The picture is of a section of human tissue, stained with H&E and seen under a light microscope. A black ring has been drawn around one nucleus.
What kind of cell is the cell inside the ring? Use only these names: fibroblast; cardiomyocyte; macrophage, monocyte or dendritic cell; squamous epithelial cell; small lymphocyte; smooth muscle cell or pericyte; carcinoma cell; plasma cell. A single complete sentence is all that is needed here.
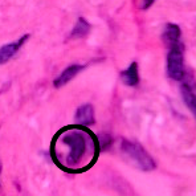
In cellular terms, the cell inside the ring is a plasma cell.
